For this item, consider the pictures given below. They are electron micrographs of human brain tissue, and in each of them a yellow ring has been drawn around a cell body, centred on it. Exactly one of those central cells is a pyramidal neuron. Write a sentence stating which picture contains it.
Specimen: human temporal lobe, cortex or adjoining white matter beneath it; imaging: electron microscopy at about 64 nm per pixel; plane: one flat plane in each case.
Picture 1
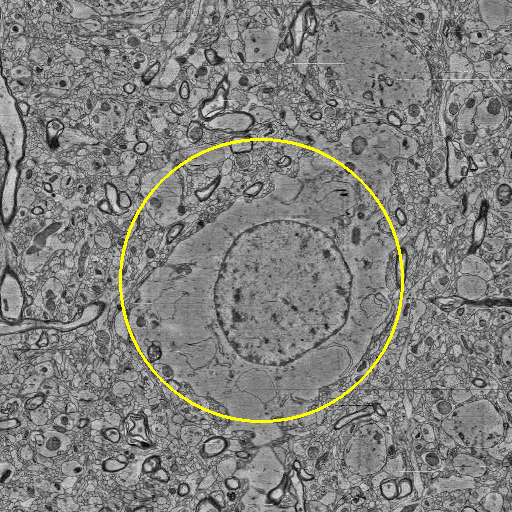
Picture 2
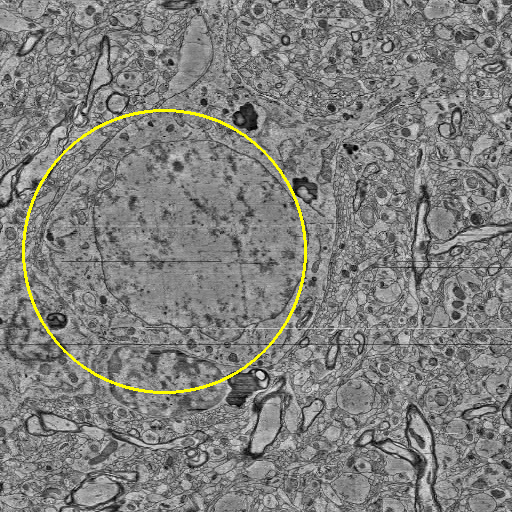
It is in Picture 2.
